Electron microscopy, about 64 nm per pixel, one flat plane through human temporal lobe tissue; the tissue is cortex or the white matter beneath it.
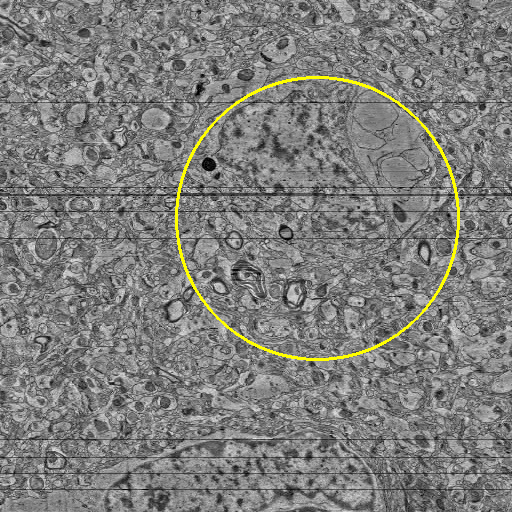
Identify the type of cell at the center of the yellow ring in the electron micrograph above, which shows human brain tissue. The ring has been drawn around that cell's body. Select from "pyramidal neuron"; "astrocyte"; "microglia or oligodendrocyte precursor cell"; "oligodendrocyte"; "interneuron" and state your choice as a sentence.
The yellow ring is centered on the body of an interneuron.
